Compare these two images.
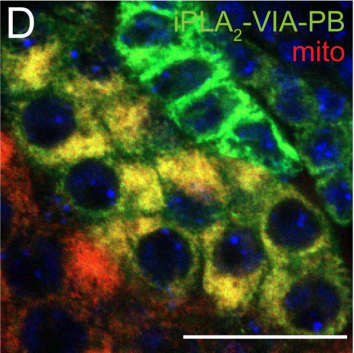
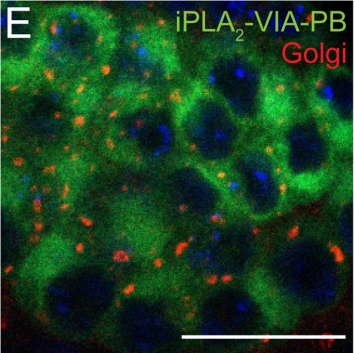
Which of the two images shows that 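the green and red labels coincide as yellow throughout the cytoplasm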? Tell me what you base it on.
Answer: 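The first image. Second image: red appears as separate small dots, distinct from the diffuse green cytoplasm. First image: much of the cytoplasm of several cells appears yellow where green and red overlap.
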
